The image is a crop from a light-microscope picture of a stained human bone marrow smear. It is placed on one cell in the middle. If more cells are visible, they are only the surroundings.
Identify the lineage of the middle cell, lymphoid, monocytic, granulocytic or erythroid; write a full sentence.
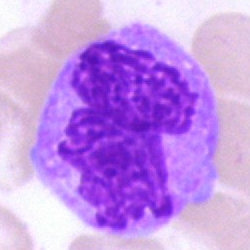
For the cell at the center, the lineage is monocytic.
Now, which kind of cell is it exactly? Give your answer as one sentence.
At the crop's centre, the cell is a monocyte.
